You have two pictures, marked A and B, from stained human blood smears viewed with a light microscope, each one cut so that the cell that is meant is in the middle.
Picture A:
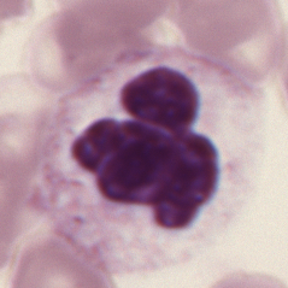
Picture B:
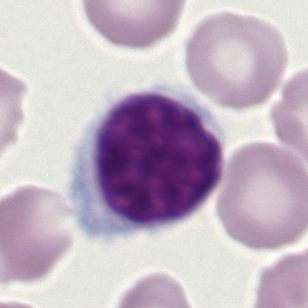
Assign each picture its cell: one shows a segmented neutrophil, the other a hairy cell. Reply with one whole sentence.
In picture A the cell is a segmented neutrophil; in picture B, a hairy cell.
